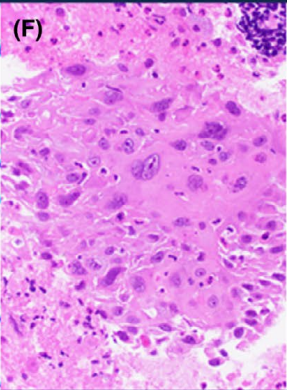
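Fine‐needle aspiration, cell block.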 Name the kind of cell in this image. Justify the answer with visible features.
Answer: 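Large cells with dense glassy pink cytoplasm. Enlarged, irregular nuclei with visible nucleoli.
Hence: keratinizing malignant cells.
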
